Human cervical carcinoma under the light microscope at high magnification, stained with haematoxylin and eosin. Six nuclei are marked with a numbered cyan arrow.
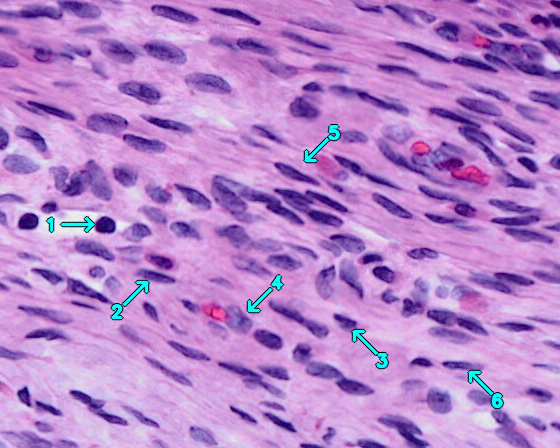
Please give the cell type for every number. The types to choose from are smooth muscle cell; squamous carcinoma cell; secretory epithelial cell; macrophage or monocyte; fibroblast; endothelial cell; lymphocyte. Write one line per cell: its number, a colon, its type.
1: lymphocyte
2: fibroblast
3: fibroblast
4: endothelial cell
5: fibroblast
6: fibroblast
